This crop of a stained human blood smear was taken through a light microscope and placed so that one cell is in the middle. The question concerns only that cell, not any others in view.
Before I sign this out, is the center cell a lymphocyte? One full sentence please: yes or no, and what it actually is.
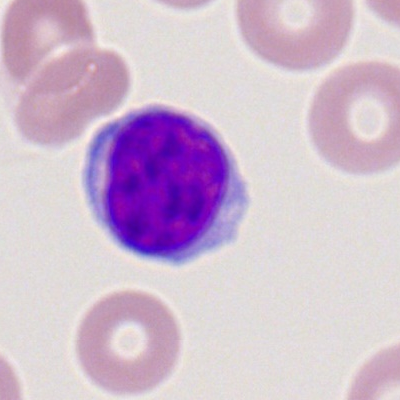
Yes, centred in the crop is a lymphocyte.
